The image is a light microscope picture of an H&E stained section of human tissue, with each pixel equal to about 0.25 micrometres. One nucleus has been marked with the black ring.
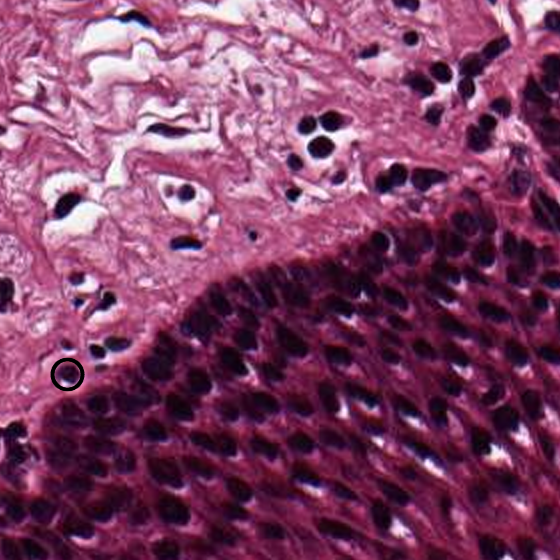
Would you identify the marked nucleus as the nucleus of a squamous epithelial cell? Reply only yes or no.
no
